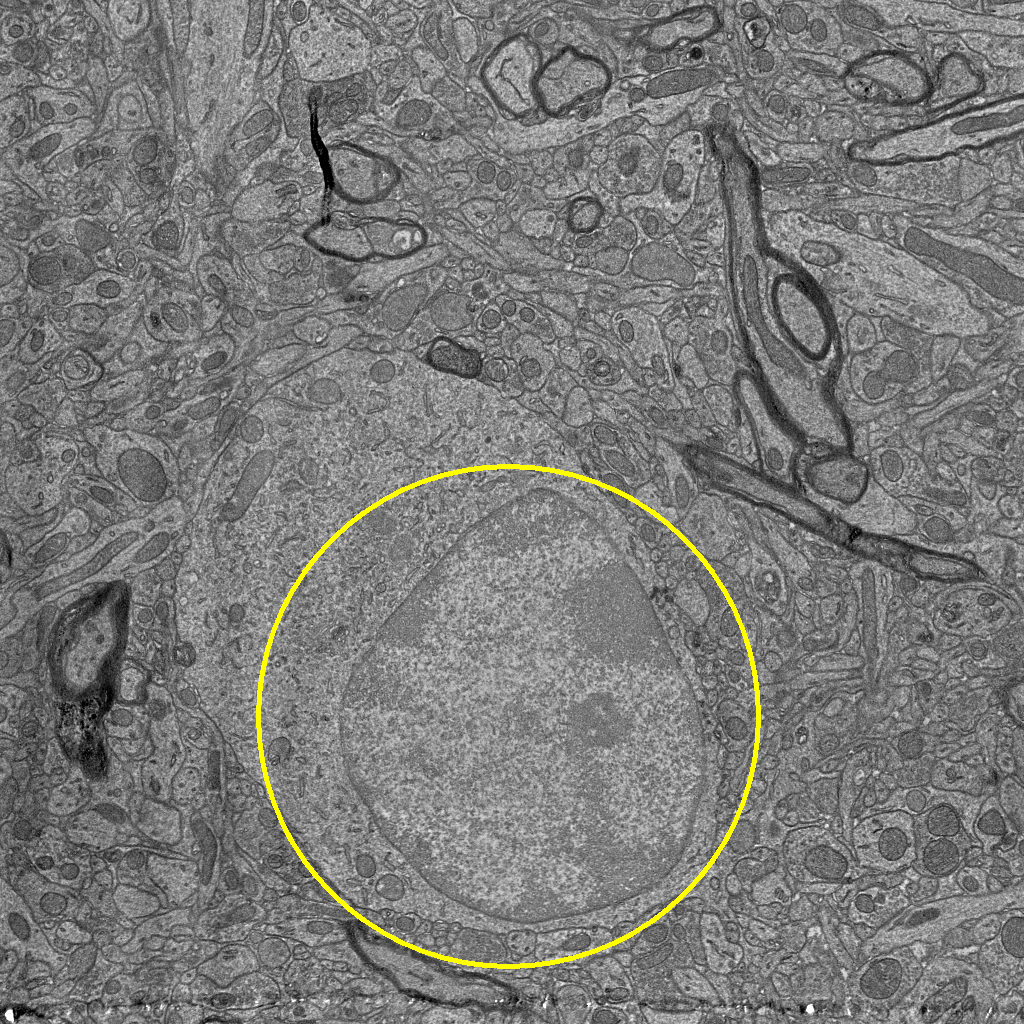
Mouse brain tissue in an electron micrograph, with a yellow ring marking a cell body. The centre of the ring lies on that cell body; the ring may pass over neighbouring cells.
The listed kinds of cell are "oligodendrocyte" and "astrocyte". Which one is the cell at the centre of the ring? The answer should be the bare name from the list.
oligodendrocyte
